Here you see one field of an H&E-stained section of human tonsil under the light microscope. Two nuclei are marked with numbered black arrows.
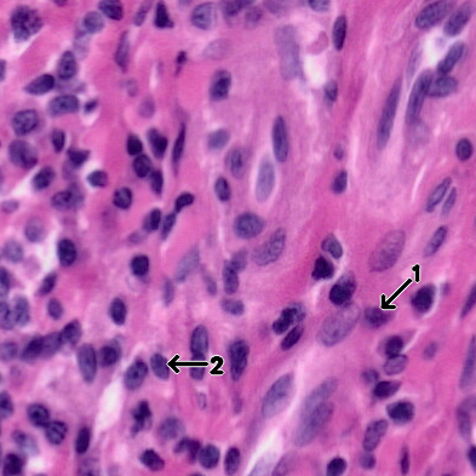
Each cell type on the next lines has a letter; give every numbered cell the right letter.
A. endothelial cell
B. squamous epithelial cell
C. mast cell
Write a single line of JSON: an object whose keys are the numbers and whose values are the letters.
{"1": "A", "2": "C"}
